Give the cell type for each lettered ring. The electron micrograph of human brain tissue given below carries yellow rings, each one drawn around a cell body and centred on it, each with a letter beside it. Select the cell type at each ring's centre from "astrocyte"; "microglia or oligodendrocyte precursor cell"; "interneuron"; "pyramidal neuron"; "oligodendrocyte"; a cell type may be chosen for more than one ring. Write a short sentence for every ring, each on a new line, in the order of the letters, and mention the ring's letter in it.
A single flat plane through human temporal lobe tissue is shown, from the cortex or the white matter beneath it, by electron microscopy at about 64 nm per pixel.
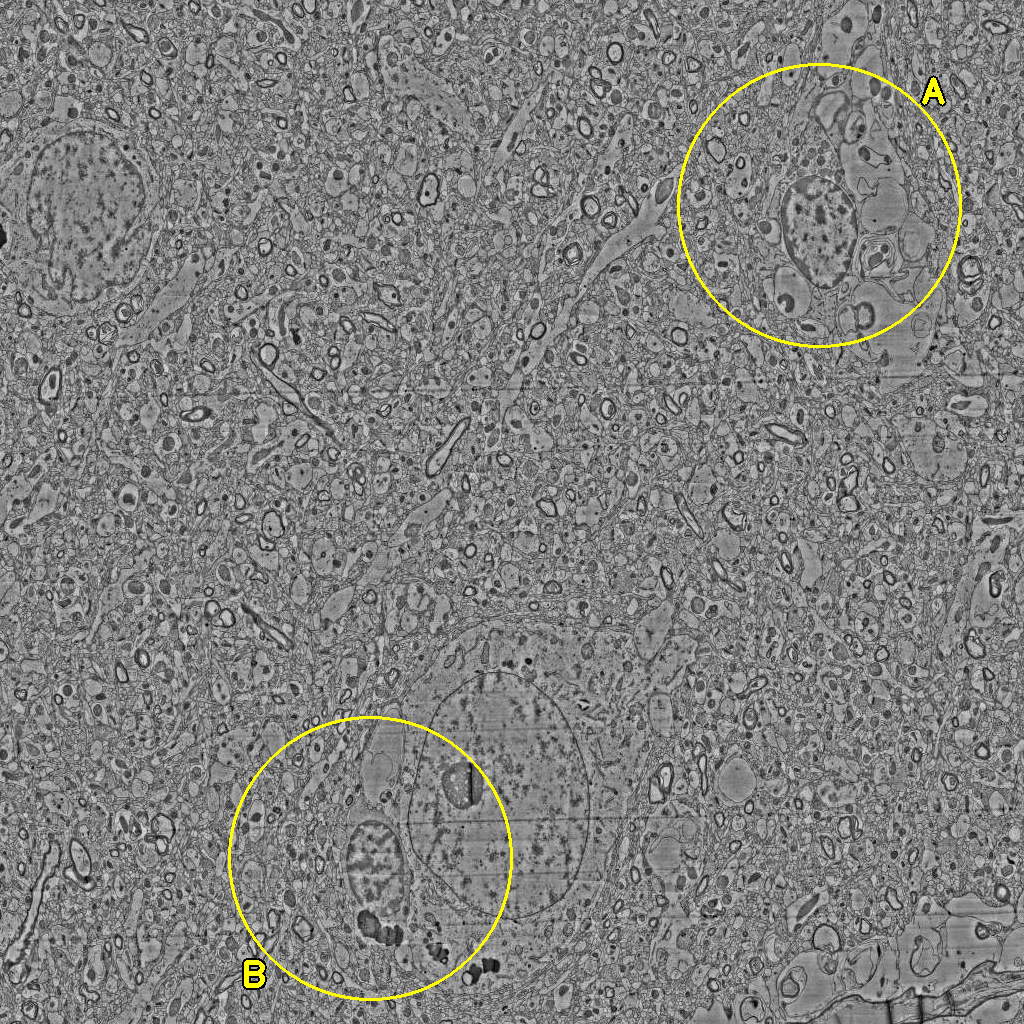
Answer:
The cell type for ring A is a microglial cell or oligodendrocyte precursor cell.
The cell type for ring B is an oligodendrocyte.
